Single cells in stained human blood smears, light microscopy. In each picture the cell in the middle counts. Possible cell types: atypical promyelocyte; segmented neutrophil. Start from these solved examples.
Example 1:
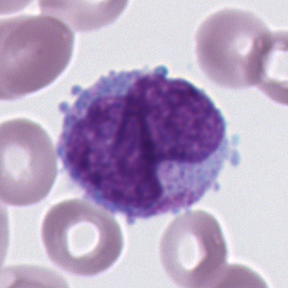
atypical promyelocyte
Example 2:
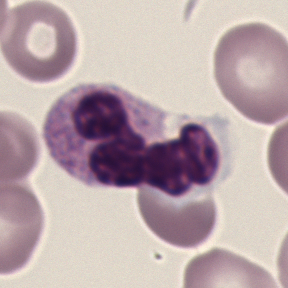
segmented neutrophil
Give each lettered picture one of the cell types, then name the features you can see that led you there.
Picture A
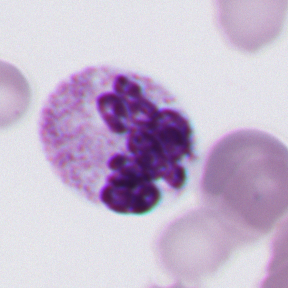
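segmented neutrophil. Reason: The nucleus is split into more than five separate lobes.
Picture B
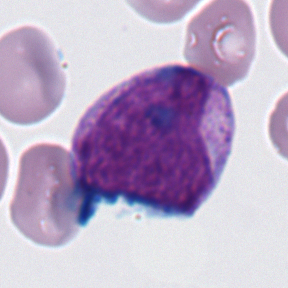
atypical promyelocyte. Reason: The scant cytoplasm is deep blue along the lower edge of the cell.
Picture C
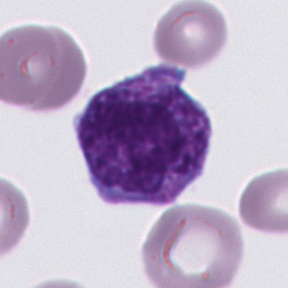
atypical promyelocyte. Reason: The cytoplasm forms only a thin rim around the nucleus.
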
